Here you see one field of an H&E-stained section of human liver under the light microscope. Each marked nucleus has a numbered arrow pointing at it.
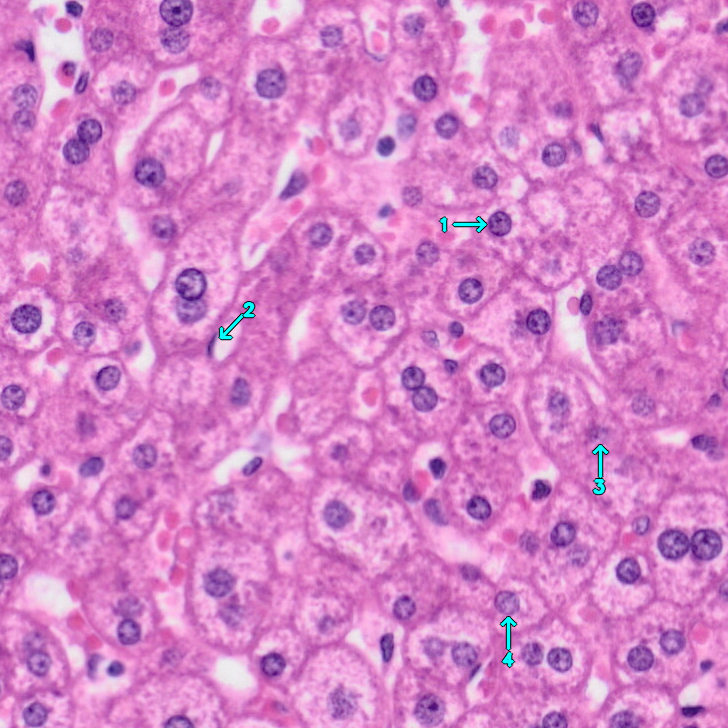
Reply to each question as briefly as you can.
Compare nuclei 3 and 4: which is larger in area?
4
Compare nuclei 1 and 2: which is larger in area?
1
